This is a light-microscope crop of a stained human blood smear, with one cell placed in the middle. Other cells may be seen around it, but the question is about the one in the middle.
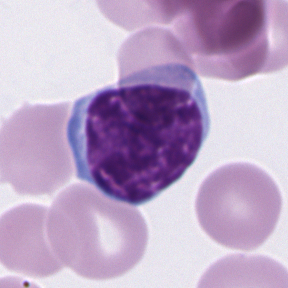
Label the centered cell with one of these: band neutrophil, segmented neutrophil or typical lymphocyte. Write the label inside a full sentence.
The centrally placed cell is classified as a typical lymphocyte.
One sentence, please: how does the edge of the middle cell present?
In short, the margin is smooth with no projections at all.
